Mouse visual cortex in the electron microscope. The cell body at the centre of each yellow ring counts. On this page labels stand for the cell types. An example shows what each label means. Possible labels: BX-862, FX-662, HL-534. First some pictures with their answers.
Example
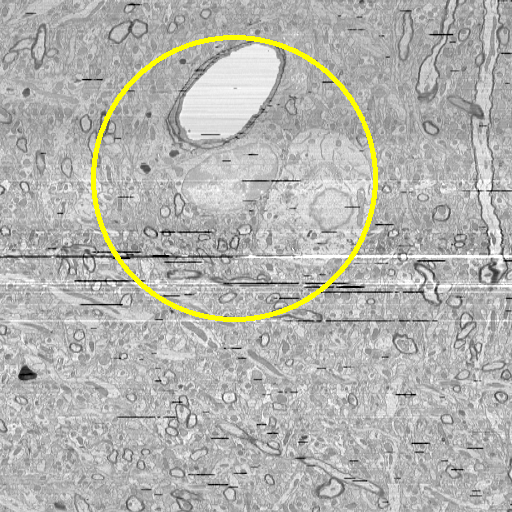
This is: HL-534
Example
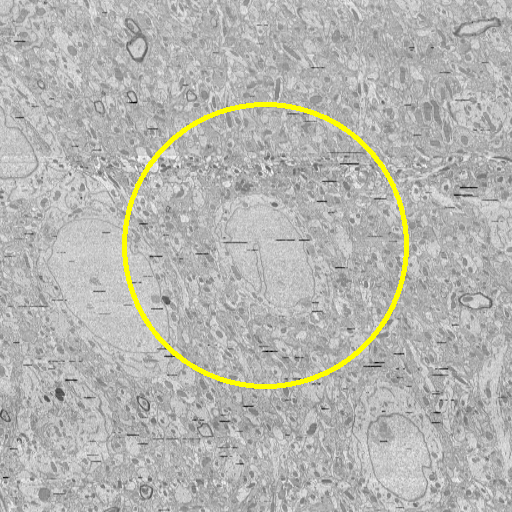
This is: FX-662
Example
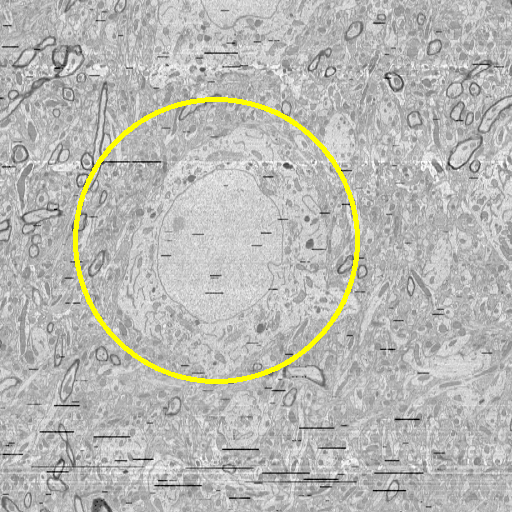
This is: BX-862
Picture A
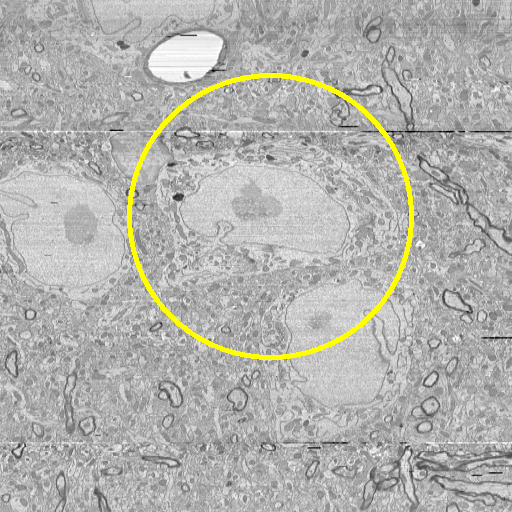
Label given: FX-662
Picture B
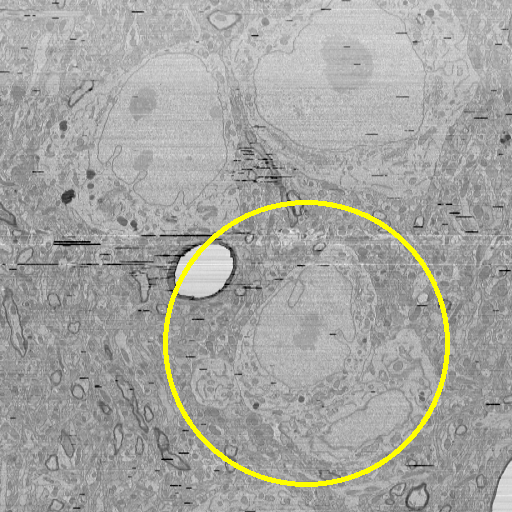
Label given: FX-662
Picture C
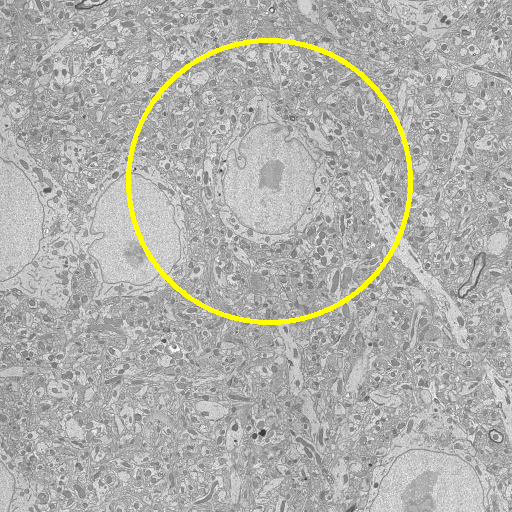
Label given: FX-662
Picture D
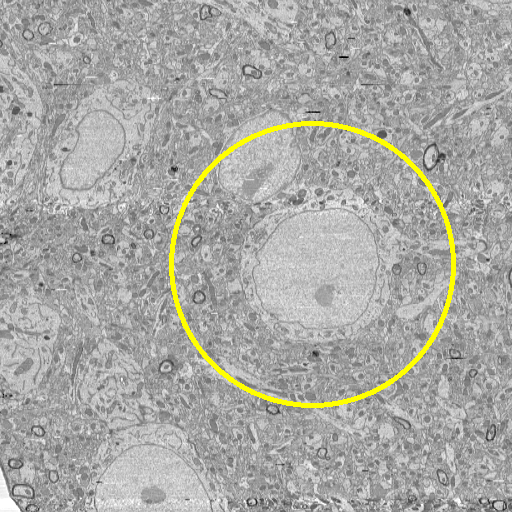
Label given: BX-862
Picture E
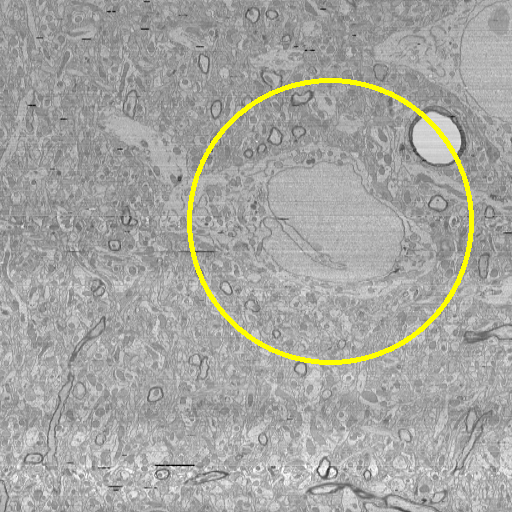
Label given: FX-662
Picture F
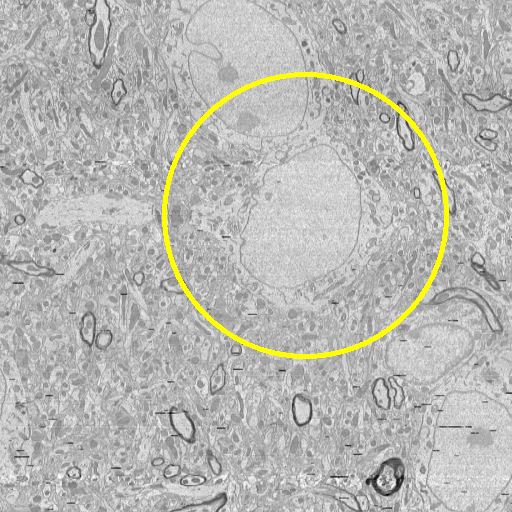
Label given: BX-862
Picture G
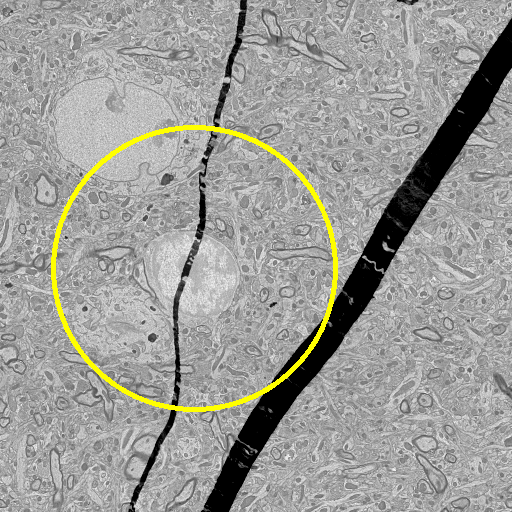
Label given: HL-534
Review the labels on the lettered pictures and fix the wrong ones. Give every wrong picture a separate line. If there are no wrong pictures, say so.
All labels are correct.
